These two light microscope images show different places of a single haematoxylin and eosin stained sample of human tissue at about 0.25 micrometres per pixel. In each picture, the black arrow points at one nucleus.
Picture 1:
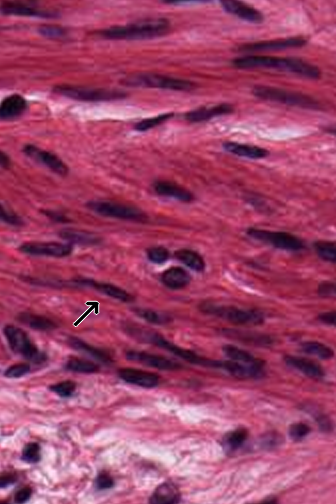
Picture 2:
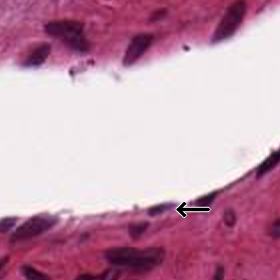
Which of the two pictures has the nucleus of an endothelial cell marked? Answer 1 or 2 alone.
2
